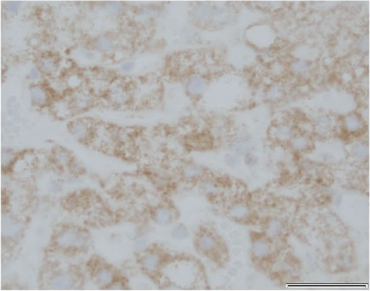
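Liver tissue made of hepatocytes arranged in irregular plates and cords. The cells are large and polygonal, with round, pale nuclei lying centrally and showing a faint bluish counterstain. Between the cords run narrow pale spaces corresponding to sinusoids, which carry little or no brown stain. A few round clear vacuole-like spaces are scattered among the cells. The brown staining is confined to the hepatocyte cytoplasm rather than to the spaces between them.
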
